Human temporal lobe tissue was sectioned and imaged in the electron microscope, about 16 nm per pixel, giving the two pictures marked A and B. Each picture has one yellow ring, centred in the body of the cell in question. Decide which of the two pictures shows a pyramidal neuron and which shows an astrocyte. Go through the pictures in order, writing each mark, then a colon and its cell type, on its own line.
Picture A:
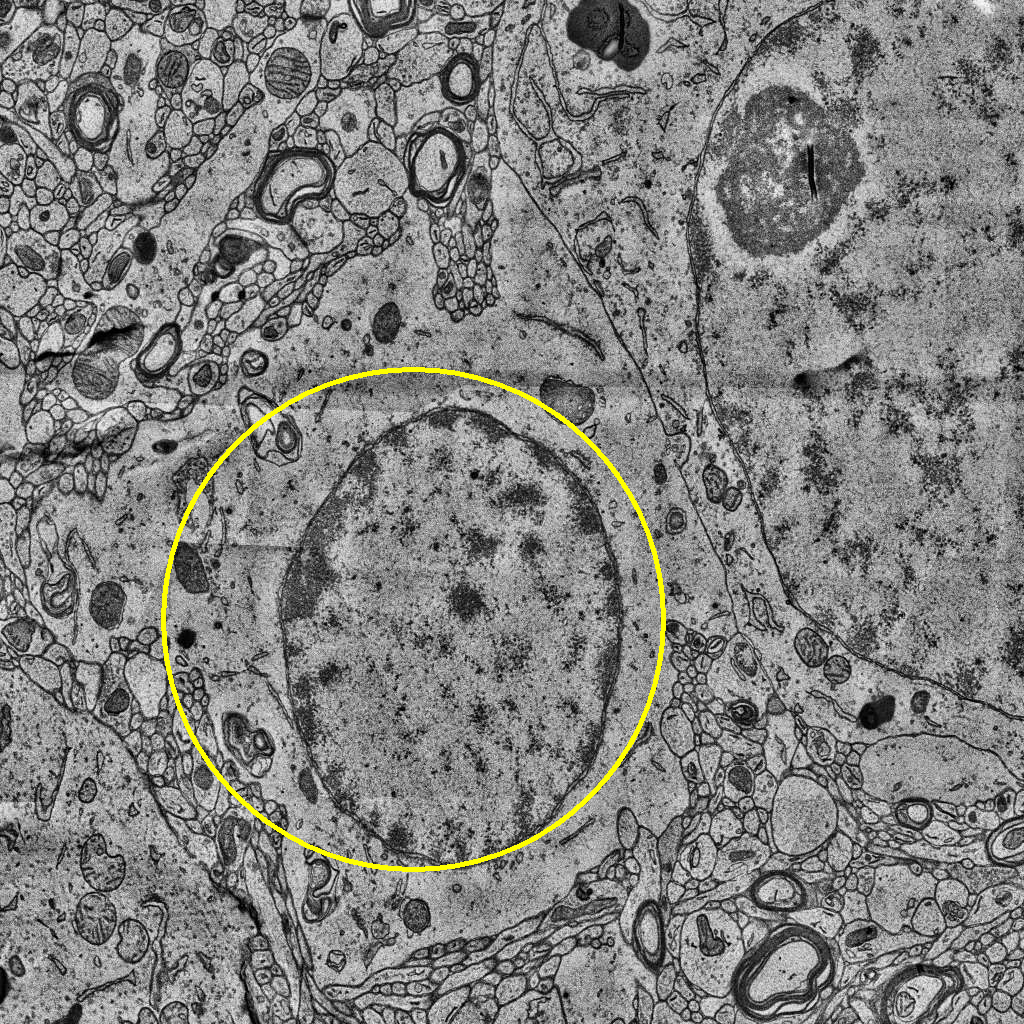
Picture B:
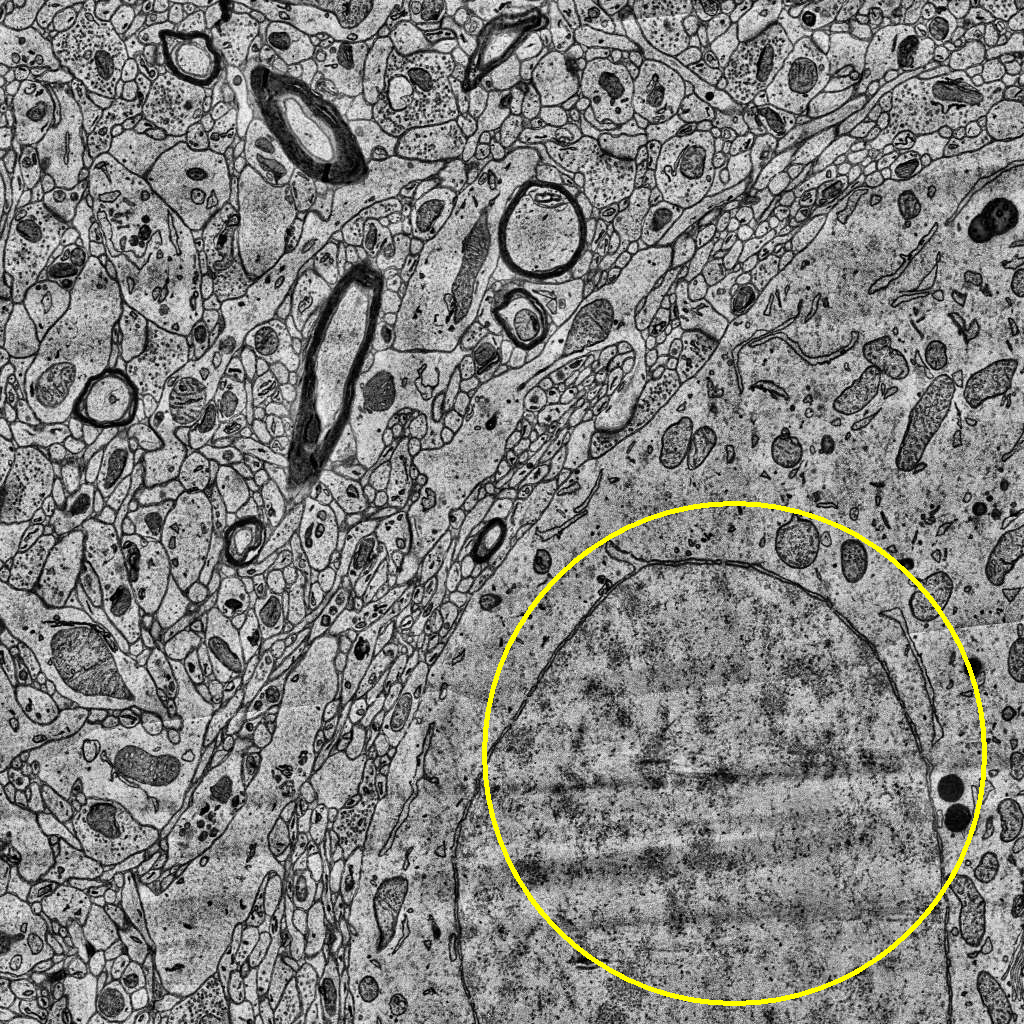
A: astrocyte
B: pyramidal neuron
